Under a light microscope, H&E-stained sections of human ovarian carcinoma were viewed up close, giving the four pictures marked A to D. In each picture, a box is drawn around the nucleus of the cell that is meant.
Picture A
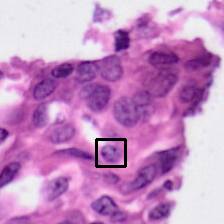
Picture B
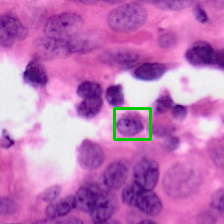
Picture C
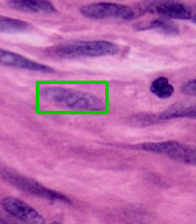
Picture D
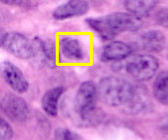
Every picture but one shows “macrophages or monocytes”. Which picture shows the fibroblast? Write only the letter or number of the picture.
C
